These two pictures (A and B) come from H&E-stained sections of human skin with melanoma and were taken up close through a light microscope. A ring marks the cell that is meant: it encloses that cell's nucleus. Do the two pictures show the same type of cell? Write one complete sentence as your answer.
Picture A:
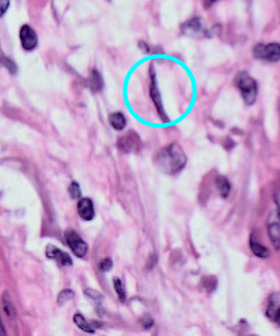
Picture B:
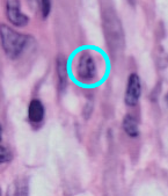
No; the cell in picture A is a “fibroblast or myofibroblast”, while the one in picture B is a plasma cell.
